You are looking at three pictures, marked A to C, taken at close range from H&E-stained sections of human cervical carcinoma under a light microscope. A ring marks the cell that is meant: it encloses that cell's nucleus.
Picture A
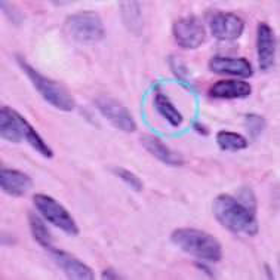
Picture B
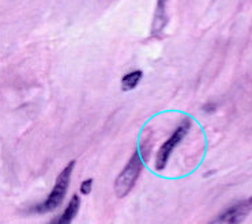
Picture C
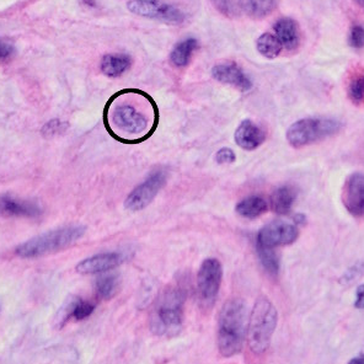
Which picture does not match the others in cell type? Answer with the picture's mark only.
C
